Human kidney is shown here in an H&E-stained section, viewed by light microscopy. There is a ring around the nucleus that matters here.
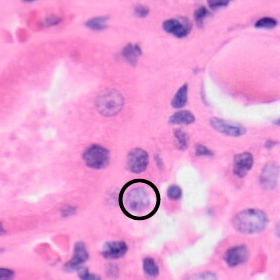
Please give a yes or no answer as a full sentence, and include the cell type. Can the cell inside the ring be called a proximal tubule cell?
No, the cell inside the ring is put down as a loop of Henle or distal tubule cell, not as a proximal tubule cell.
